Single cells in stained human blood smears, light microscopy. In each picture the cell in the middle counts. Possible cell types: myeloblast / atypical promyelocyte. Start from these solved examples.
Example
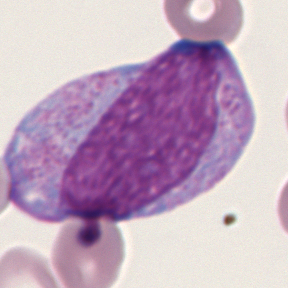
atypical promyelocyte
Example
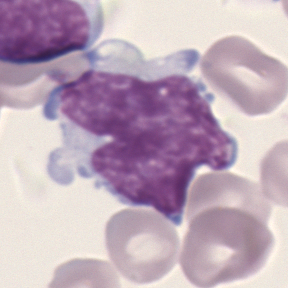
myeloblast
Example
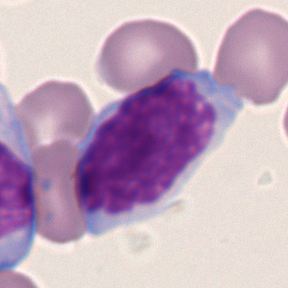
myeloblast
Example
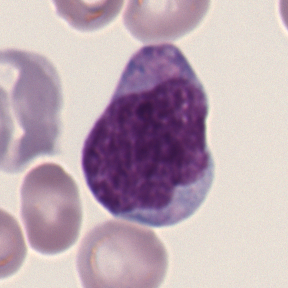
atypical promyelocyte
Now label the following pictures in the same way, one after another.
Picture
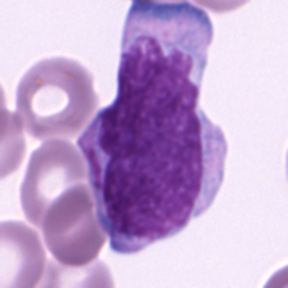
atypical promyelocyte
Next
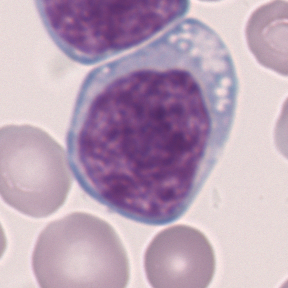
myeloblast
